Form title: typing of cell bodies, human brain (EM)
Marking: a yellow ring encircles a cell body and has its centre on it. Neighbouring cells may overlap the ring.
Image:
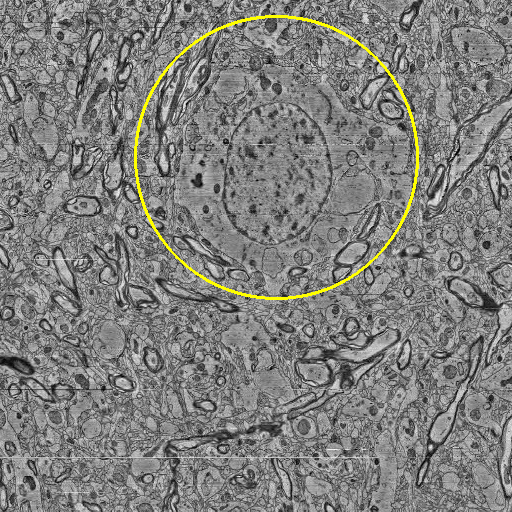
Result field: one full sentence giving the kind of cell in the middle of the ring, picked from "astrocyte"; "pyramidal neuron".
In the picture, the ring is centred on an astrocyte, whose cell body it encircles.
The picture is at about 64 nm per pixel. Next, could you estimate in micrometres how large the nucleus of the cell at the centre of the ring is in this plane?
In this plane, roughly 10 by 7 micrometres.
